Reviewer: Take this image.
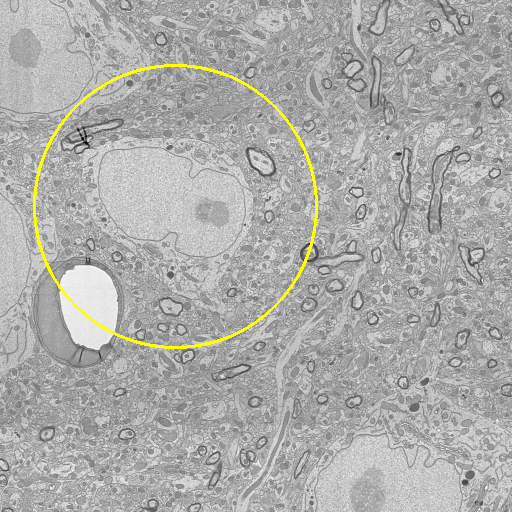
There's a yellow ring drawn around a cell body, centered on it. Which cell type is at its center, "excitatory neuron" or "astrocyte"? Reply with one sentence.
At the center of the yellow ring is an excitatory neuron.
